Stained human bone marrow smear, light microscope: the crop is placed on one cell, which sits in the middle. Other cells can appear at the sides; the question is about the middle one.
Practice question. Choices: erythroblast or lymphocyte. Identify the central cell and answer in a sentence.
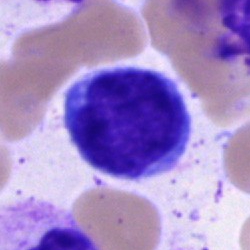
In this crop, the cell at the very middle is a lymphocyte.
